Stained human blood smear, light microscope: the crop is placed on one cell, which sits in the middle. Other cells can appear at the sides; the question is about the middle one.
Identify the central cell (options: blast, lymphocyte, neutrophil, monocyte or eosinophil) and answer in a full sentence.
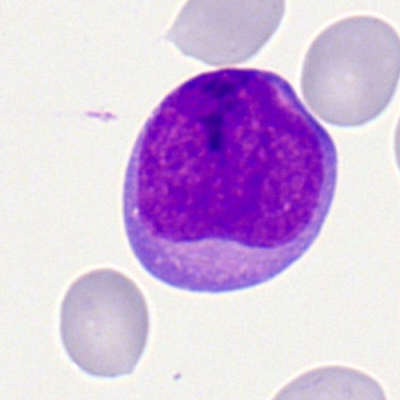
At the middle of the frame sits a blast.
